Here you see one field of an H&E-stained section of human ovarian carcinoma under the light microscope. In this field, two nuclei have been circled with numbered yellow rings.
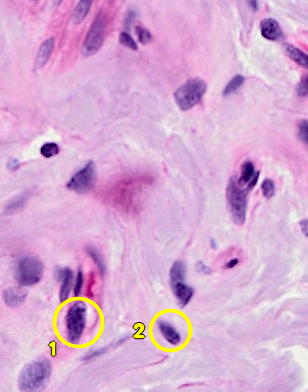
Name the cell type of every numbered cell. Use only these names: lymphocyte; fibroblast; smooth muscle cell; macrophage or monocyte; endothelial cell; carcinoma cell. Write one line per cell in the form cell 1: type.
cell 1: endothelial cell
cell 2: fibroblast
